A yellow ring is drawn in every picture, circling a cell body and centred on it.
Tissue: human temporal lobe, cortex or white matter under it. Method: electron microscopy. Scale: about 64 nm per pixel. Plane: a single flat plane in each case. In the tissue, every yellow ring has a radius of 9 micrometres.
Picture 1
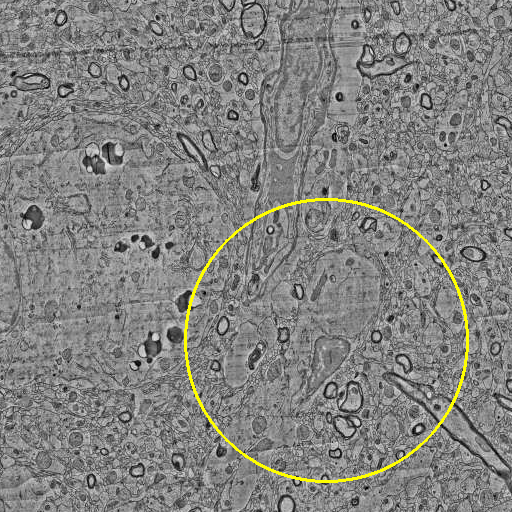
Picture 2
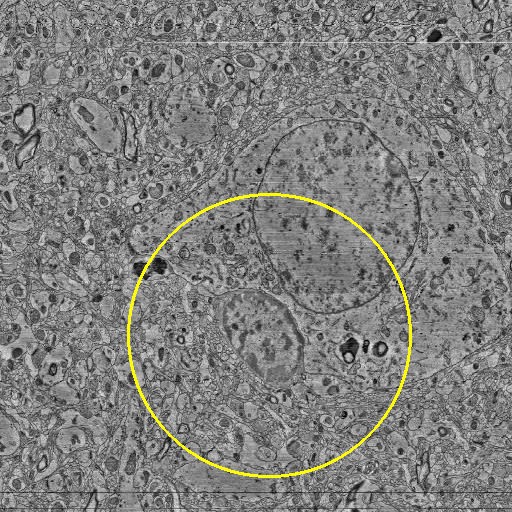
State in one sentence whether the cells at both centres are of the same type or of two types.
The cells at the two ring centres, one per picture, are of two types.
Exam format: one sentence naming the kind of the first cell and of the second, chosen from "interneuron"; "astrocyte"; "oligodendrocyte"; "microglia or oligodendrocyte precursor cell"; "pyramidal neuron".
The first picture's cell is a microglial cell or oligodendrocyte precursor cell, and the second picture's cell is an oligodendrocyte.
